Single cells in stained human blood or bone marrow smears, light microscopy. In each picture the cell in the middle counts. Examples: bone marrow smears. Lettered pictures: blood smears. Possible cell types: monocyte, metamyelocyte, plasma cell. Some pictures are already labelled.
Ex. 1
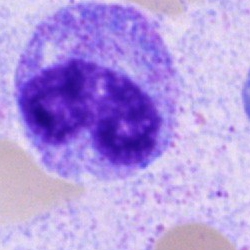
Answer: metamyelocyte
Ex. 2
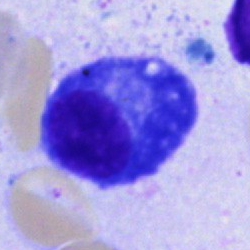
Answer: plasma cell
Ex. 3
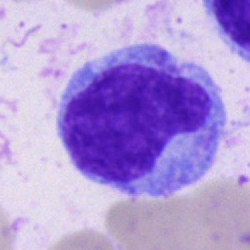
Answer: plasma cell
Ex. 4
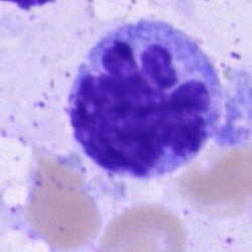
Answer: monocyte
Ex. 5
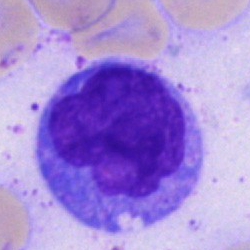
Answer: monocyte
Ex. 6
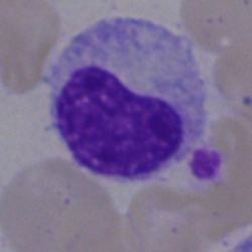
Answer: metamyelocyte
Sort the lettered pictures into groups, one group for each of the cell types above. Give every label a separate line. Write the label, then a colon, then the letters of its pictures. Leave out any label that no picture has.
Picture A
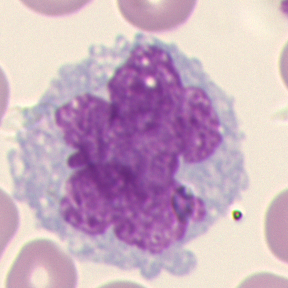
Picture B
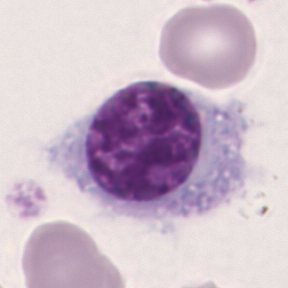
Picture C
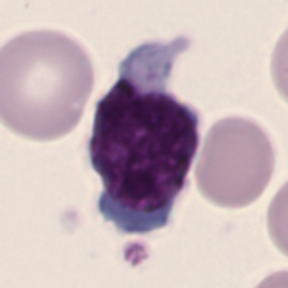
monocyte: A
plasma cell: B, C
